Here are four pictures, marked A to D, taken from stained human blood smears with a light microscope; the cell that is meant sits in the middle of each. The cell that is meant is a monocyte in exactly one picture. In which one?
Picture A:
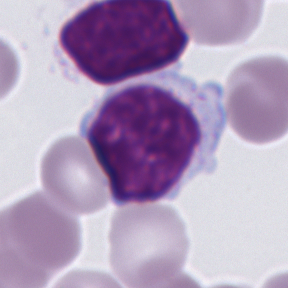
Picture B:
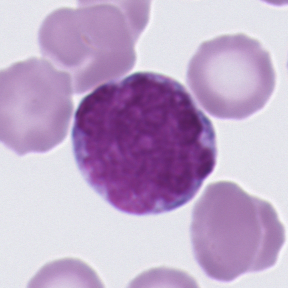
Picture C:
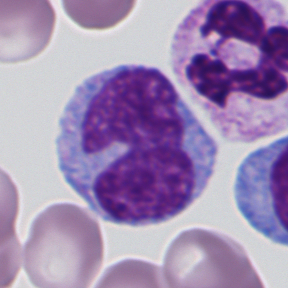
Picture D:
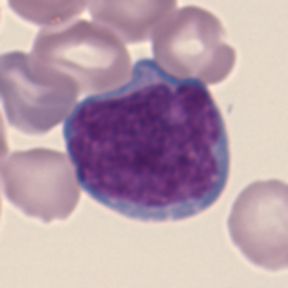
C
